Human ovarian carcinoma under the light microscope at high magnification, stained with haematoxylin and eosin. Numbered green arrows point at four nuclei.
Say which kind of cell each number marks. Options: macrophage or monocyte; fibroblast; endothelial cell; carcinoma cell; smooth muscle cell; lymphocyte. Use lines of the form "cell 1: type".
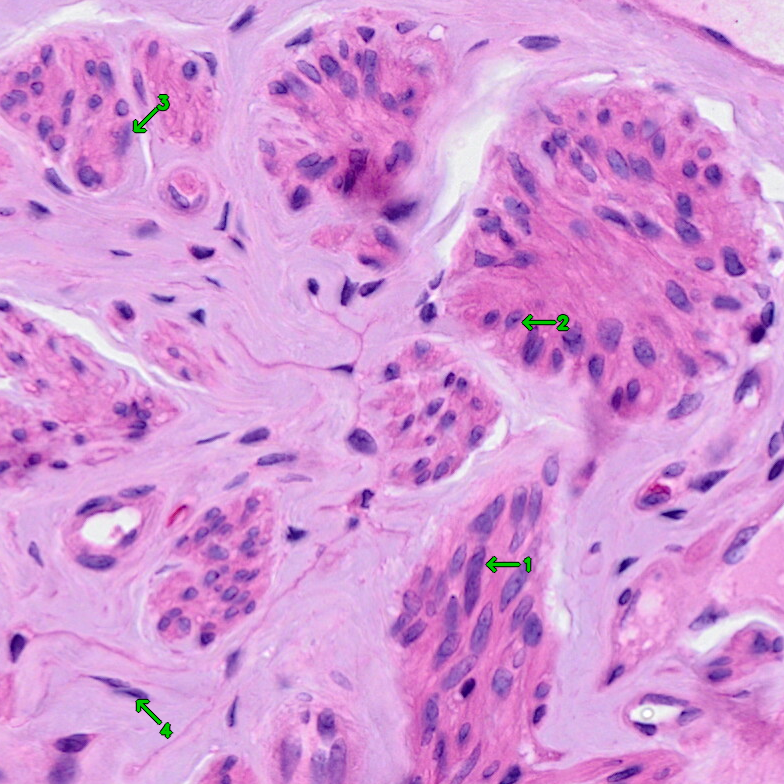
cell 1: smooth muscle cell
cell 2: smooth muscle cell
cell 3: smooth muscle cell
cell 4: fibroblast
